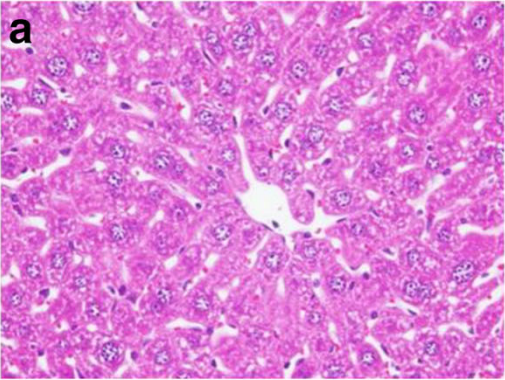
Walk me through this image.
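This is liver tissue with hepatocytes arranged in cords that radiate from a central vein in the middle of the field. The hepatocytes are large polygonal cells with evenly pink, finely granular cytoplasm and round, centrally placed nuclei with clear chromatin and distinct nucleoli; some cells hold two nuclei. Narrow, clear sinusoids run between the cords, lined by flattened cells with small dark nuclei. The central vein has a thin wall and an open lumen. No vacuoles, cell loss or clusters of inflammatory cells are seen, and the architecture looks regular throughout.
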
